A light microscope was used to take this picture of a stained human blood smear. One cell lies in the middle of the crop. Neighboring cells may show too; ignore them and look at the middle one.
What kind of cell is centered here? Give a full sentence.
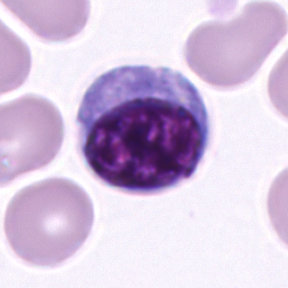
Looking at the middle of the crop, the cell there is a plasma cell.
